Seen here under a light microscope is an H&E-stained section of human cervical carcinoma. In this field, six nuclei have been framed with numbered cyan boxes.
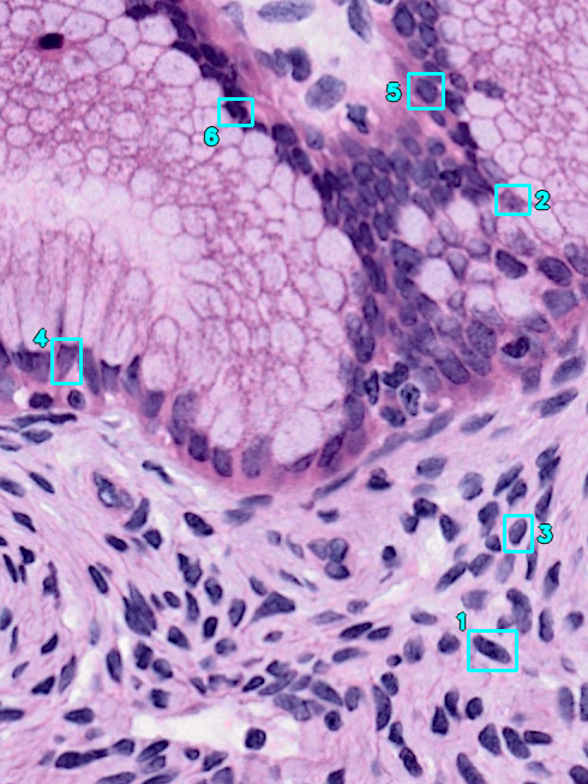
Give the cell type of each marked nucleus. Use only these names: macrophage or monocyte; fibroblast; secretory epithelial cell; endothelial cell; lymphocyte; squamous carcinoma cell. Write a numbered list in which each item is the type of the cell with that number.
1. fibroblast
2. secretory epithelial cell
3. fibroblast
4. secretory epithelial cell
5. secretory epithelial cell
6. secretory epithelial cell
